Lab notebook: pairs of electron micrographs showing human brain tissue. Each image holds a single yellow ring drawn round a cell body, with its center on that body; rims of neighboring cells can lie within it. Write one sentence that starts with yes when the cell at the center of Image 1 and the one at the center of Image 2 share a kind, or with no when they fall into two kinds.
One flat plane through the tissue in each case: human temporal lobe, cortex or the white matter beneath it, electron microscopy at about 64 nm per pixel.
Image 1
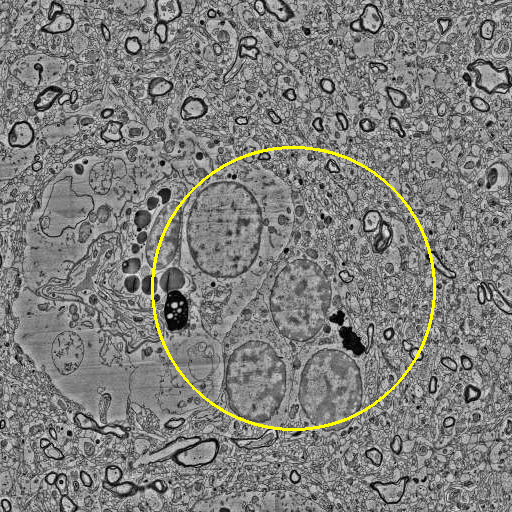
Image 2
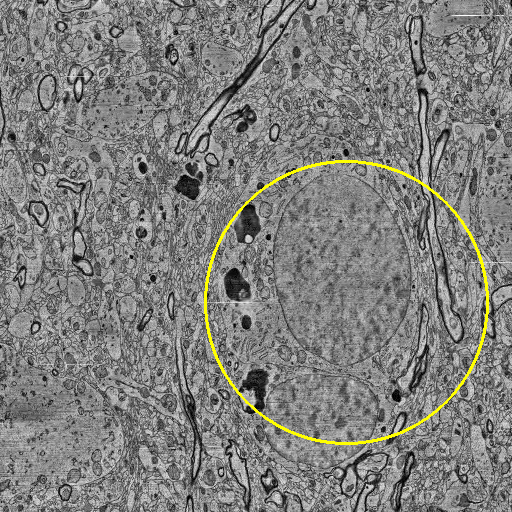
No, the centered cell in Image 1 and the centered cell in Image 2 are of two kinds.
